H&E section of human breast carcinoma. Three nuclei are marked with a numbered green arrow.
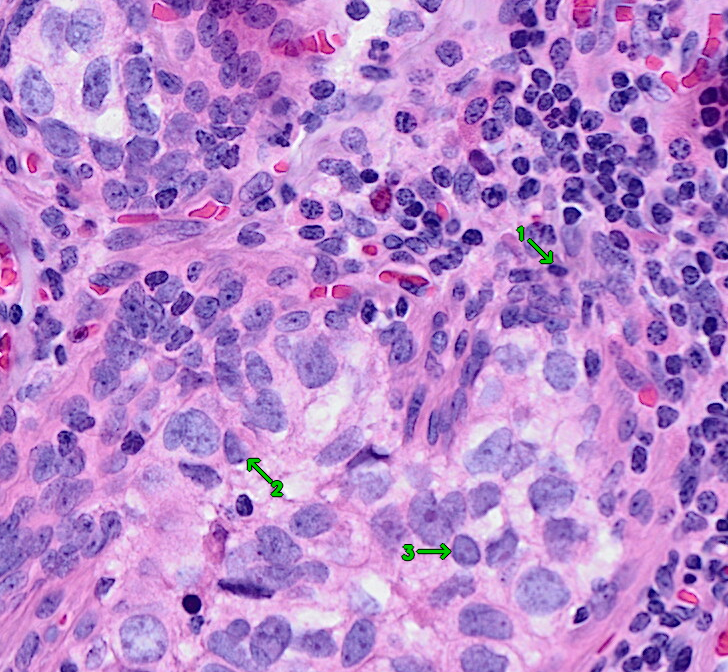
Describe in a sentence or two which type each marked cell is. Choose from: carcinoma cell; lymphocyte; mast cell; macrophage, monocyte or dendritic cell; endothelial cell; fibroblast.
Cell 1 is a lymphocyte, cell 2 is a carcinoma cell and cell 3 is a carcinoma cell.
